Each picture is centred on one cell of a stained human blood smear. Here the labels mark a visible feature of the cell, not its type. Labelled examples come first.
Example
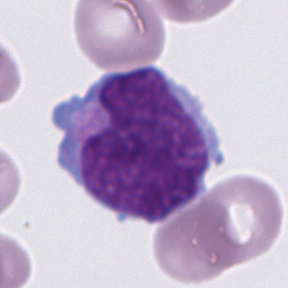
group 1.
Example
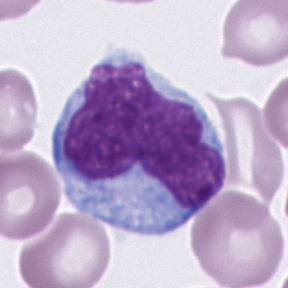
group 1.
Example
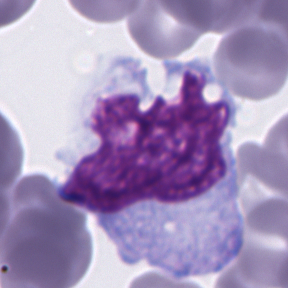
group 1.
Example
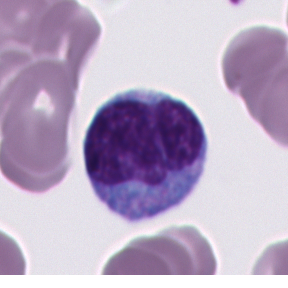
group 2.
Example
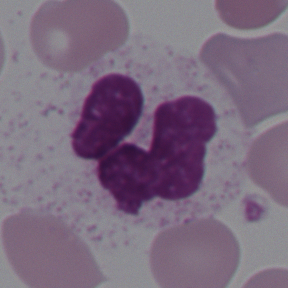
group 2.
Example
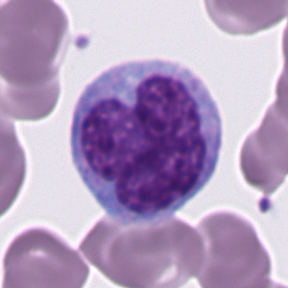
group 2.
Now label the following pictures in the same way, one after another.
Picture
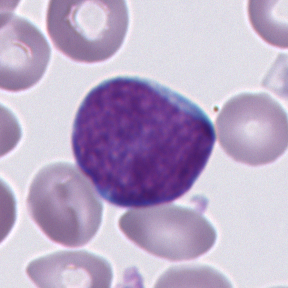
group 2.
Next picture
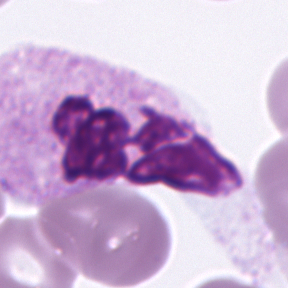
group 1.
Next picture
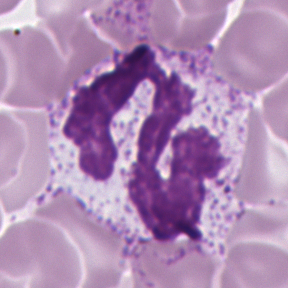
group 1.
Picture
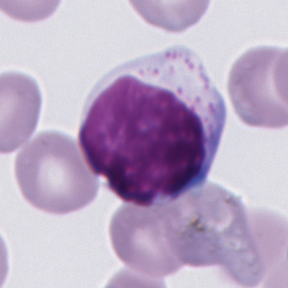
group 2.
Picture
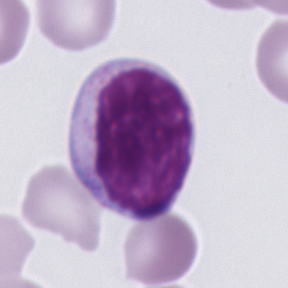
group 2.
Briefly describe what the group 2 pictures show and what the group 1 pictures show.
Seen in group 2: smooth outline; seen in group 1: ragged outline or projections.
